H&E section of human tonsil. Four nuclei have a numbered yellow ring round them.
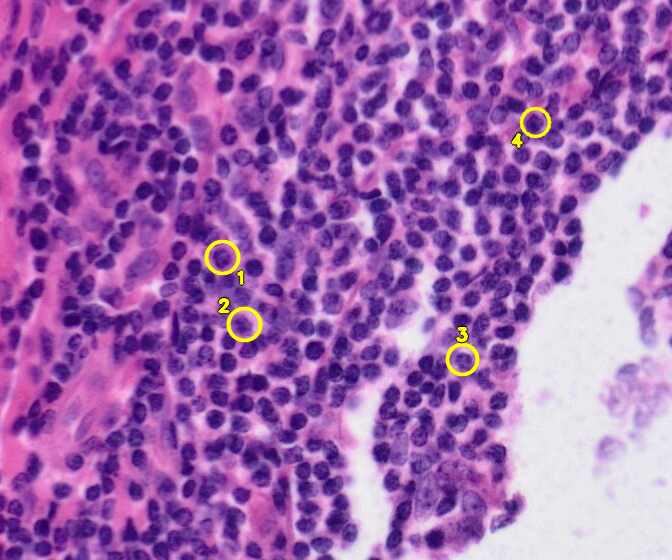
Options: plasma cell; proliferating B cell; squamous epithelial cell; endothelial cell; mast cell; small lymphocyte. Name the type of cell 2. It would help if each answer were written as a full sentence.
In the marked set, the cell given number 2 is a small lymphocyte.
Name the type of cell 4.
Nucleus 4 in this section belongs to a small lymphocyte.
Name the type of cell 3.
The marked nucleus 3 is that of a small lymphocyte.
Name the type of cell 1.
In the tissue shown, cell 1 is a plasma cell.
